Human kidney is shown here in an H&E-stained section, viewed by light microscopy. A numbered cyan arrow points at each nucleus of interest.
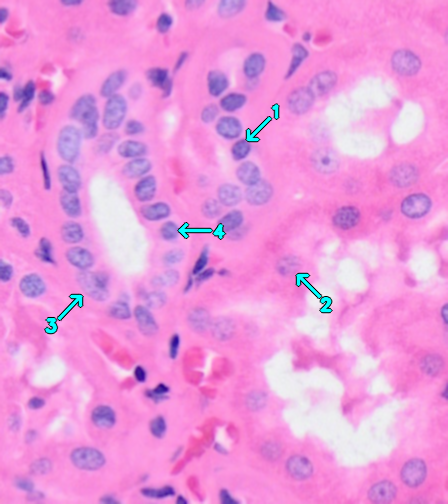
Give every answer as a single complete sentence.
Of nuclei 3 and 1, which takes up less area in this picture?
With nucleus 3 about 2 times its size, nucleus 1 is the smaller of the two.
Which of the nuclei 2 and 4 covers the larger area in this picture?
Nucleus 2 is the larger one, covering about 1.5 times the area of nucleus 4.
